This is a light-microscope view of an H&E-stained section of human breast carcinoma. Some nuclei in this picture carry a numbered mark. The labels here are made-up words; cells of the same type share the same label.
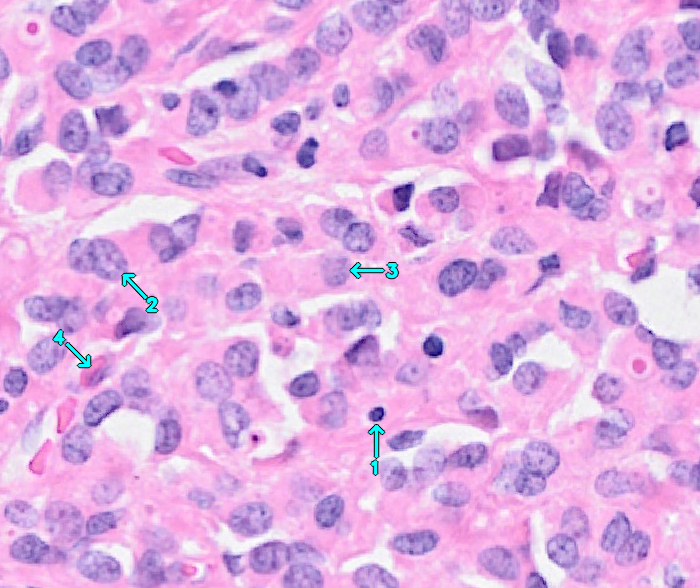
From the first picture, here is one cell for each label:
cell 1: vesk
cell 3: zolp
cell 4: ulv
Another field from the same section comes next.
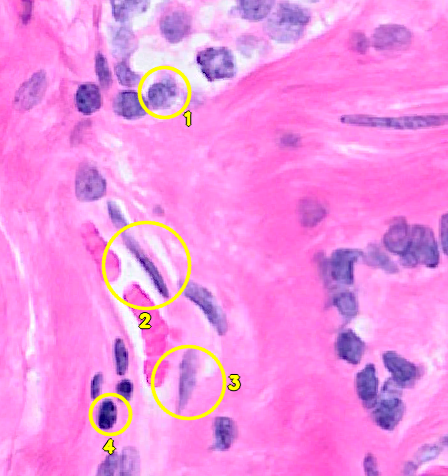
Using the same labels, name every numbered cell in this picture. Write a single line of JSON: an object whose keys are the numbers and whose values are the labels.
{"1": "zolp", "2": "ulv", "3": "ulv", "4": "vesk"}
